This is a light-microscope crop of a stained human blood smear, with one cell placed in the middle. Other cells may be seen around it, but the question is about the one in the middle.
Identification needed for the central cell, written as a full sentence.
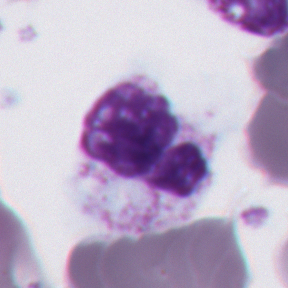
Answering briefly, the cell in the middle is a segmented neutrophil.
